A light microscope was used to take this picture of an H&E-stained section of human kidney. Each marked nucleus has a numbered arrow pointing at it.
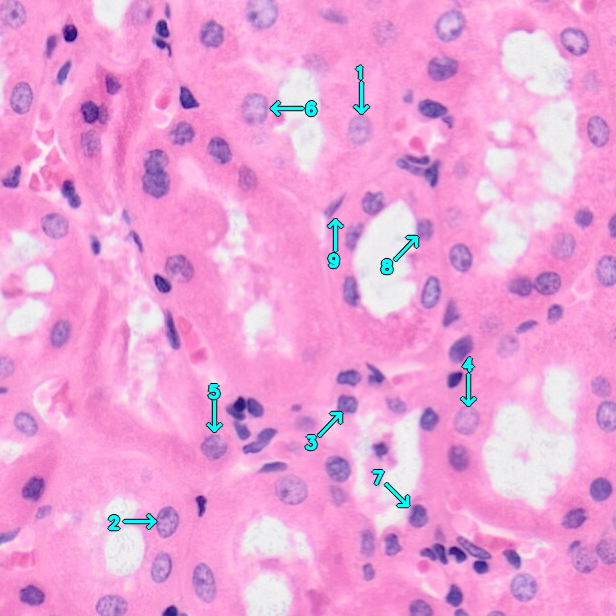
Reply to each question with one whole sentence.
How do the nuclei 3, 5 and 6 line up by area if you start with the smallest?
Smallest first, the nuclei run 3, 5, 6.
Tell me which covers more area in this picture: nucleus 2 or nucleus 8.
Number 2 is larger; its area is about 1.5 times that of number 8.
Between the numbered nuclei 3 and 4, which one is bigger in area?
Number 4 is larger; its area is about 1.5 times that of number 3.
